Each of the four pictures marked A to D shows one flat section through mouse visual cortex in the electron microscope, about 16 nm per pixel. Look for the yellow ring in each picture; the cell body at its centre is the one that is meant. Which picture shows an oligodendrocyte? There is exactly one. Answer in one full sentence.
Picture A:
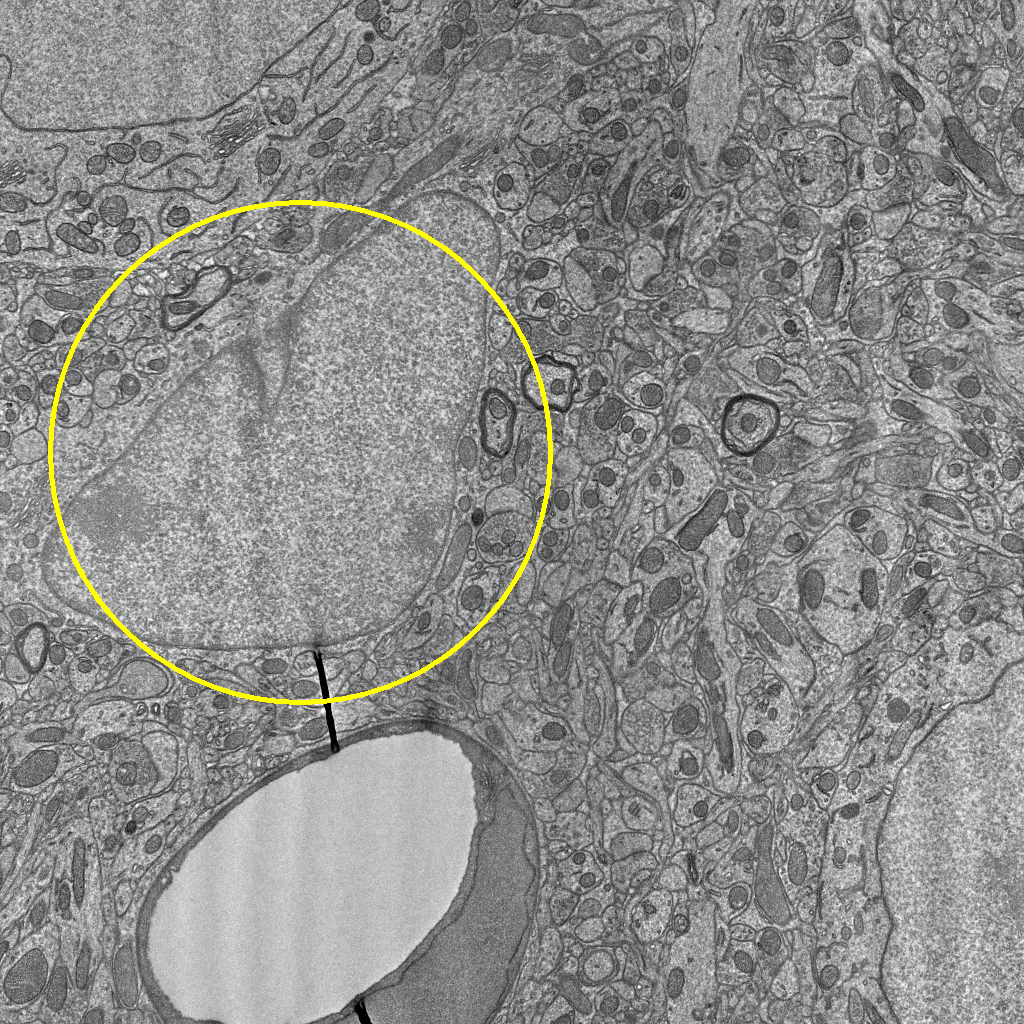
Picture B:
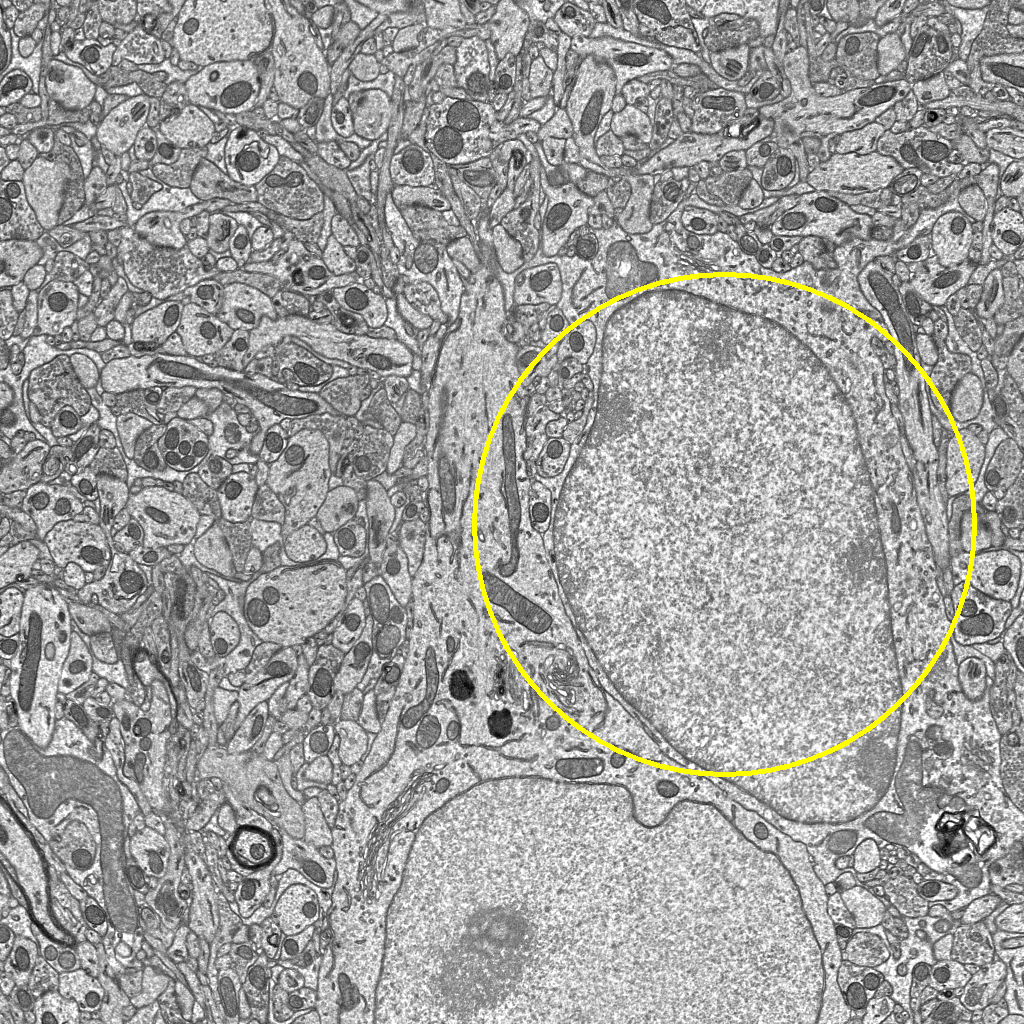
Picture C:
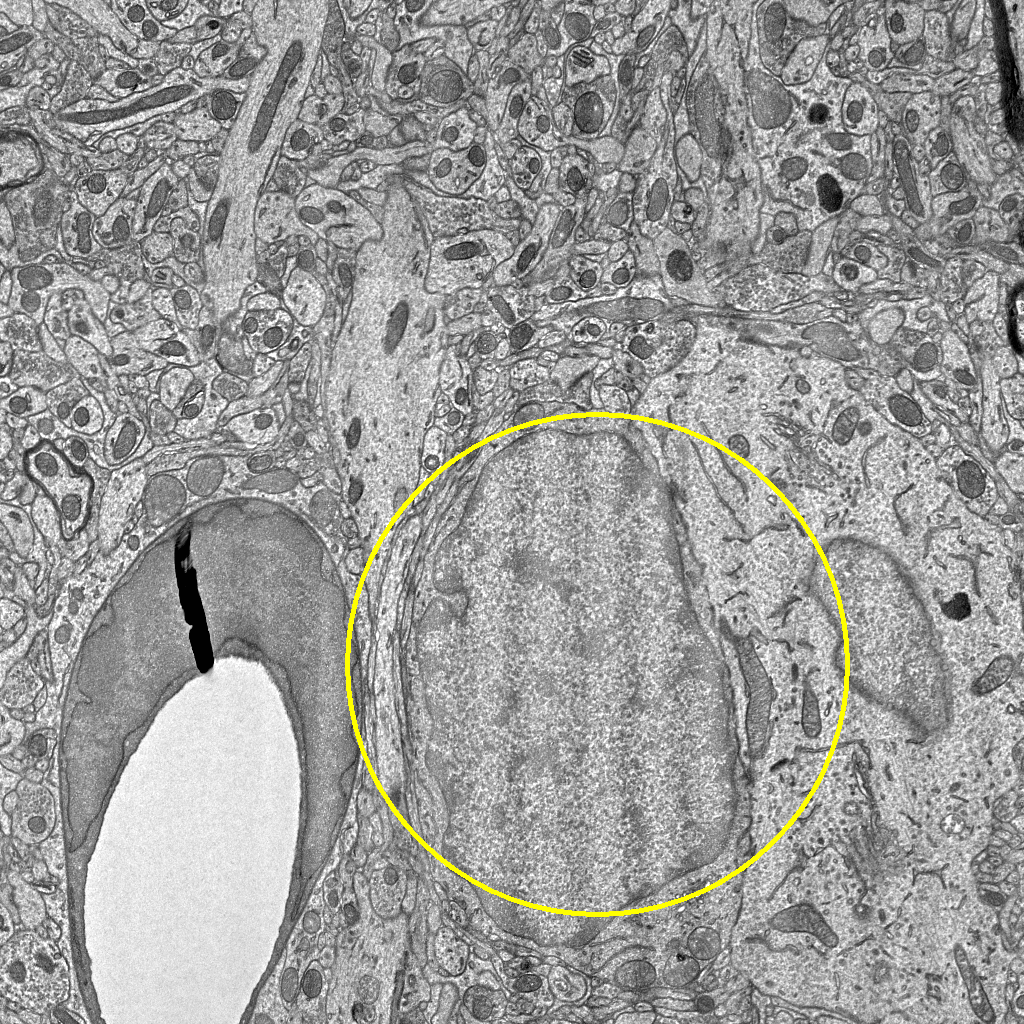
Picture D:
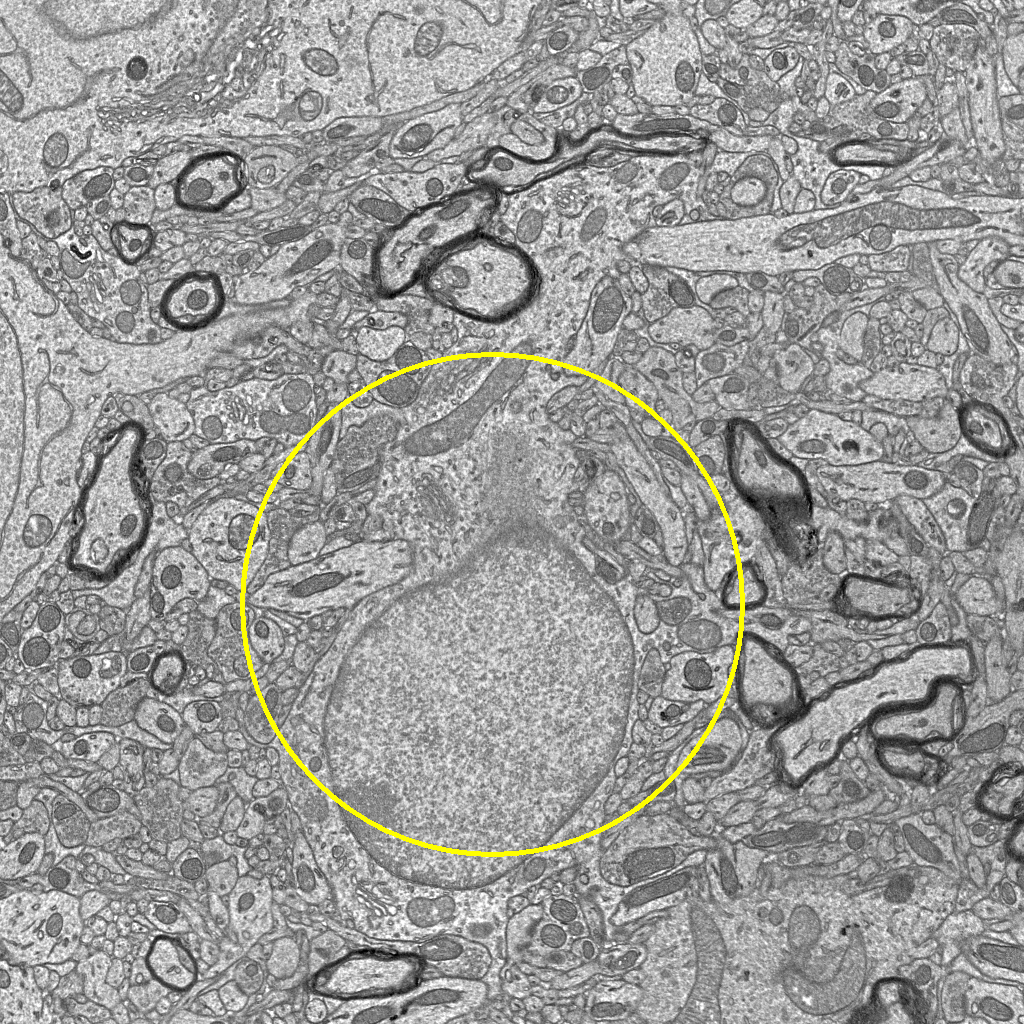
The picture with the oligodendrocyte is C.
